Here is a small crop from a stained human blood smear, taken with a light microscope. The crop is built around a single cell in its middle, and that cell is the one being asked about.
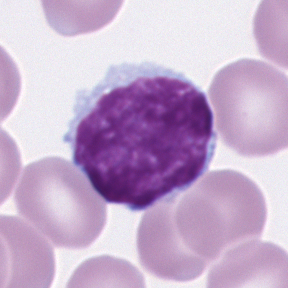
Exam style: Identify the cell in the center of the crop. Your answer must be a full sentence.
Centred in the crop is a typical lymphocyte.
